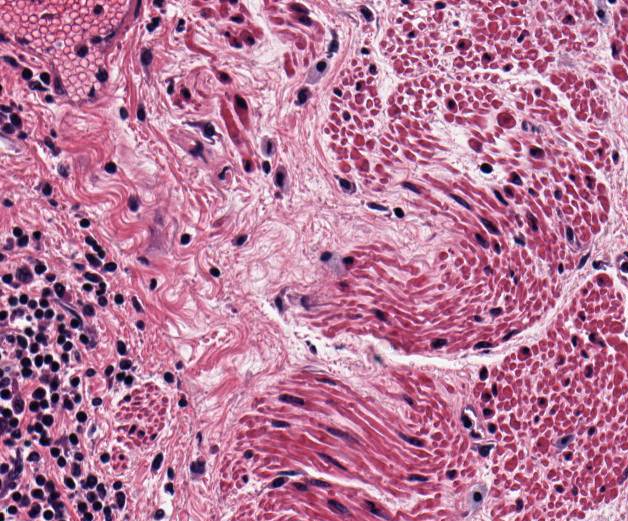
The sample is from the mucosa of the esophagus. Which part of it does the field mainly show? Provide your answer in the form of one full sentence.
The tissue component on view in this section is named smooth muscle.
